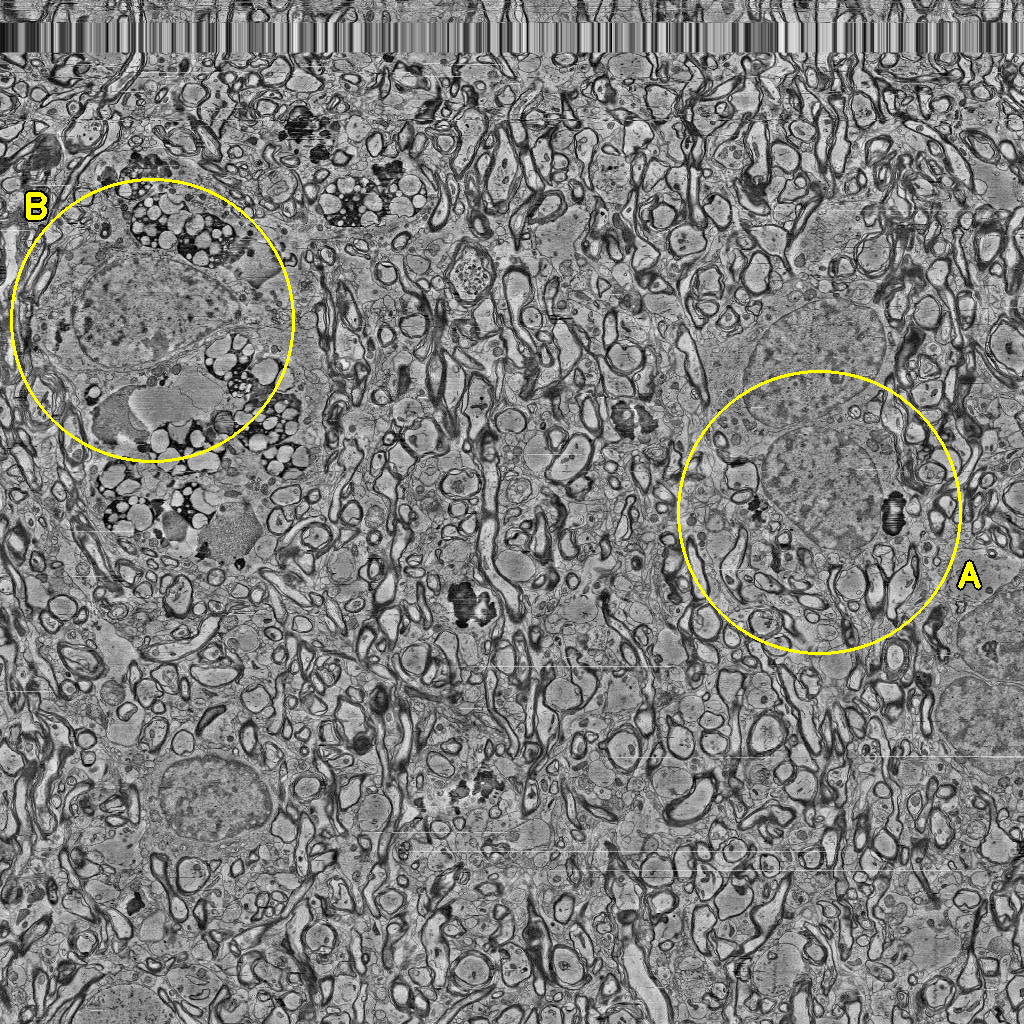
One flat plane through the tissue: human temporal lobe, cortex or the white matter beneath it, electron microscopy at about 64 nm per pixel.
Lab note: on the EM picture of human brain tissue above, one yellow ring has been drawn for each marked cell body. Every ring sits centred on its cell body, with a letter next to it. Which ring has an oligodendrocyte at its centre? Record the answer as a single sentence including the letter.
Noted: the cell in question is at the centre of ring A.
